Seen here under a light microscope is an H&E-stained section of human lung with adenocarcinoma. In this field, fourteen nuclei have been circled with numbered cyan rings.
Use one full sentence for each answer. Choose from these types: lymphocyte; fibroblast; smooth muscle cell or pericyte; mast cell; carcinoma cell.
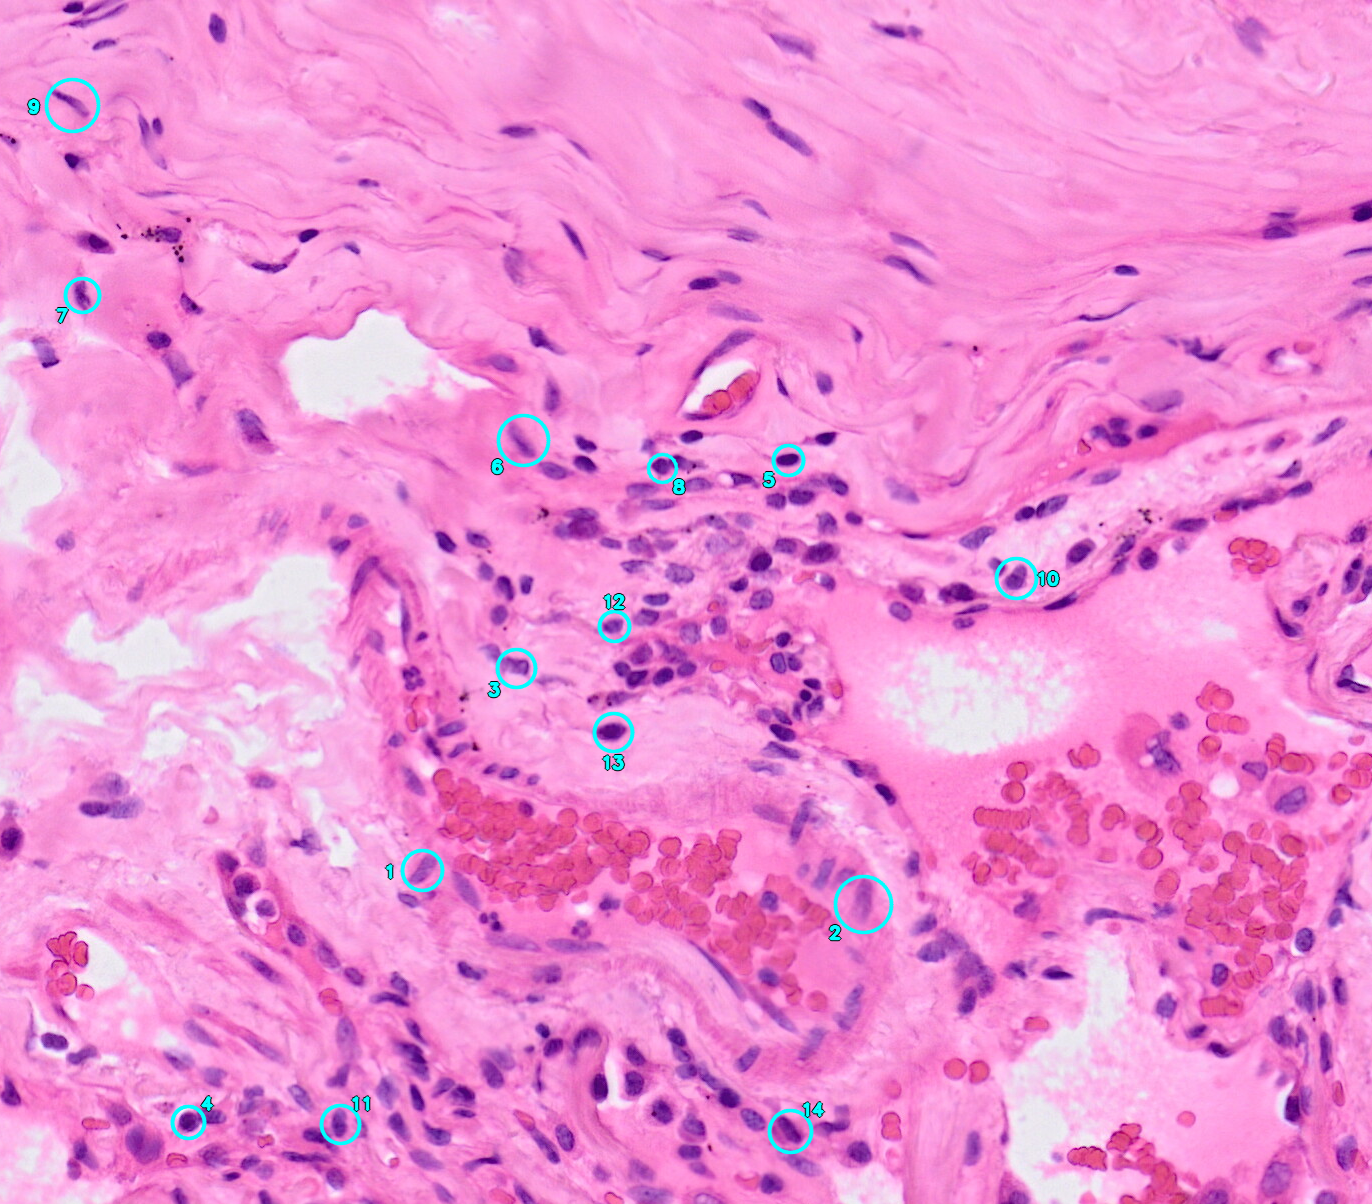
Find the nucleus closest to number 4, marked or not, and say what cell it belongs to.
Closest to number 4 lies the nucleus of a mast cell.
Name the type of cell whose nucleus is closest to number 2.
It is a smooth muscle cell or pericyte whose nucleus is nearest to number 2.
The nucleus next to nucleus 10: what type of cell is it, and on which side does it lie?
It is a lymphocyte, whose nucleus lies above and to the left of nucleus 10.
